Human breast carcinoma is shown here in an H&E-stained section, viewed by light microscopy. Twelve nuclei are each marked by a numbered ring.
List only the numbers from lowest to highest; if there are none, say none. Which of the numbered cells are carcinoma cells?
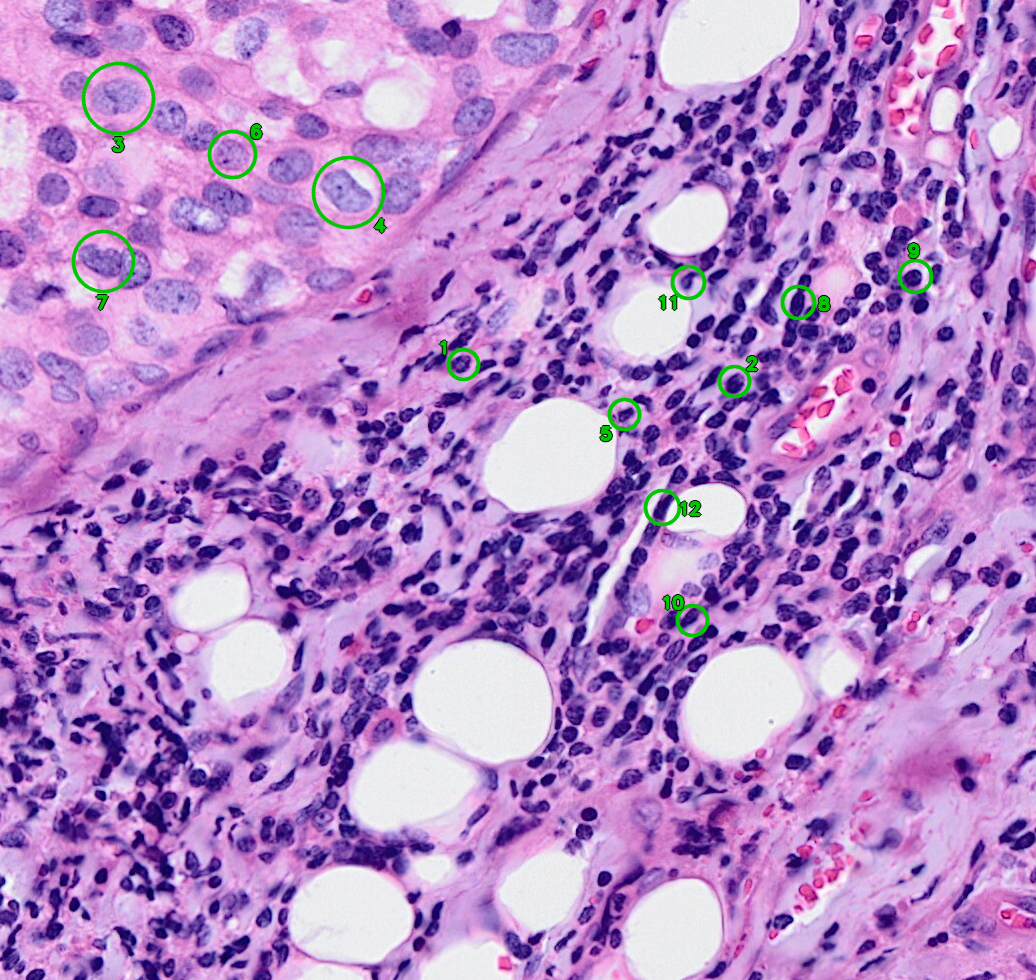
3, 4, 6, 7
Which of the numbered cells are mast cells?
1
